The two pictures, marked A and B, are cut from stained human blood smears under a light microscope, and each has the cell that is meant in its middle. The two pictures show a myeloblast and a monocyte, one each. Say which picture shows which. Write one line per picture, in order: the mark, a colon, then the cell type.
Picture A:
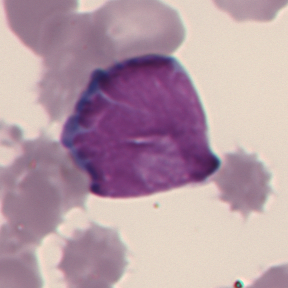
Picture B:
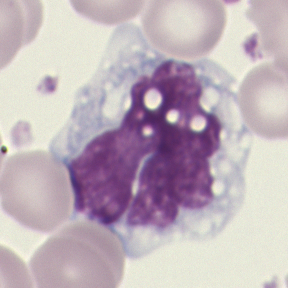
A: myeloblast
B: monocyte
